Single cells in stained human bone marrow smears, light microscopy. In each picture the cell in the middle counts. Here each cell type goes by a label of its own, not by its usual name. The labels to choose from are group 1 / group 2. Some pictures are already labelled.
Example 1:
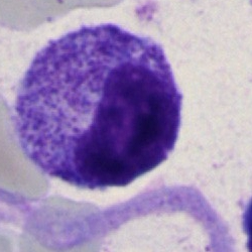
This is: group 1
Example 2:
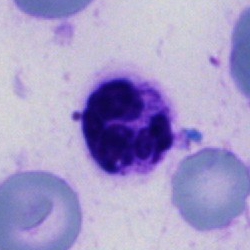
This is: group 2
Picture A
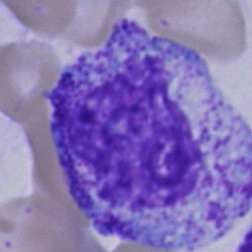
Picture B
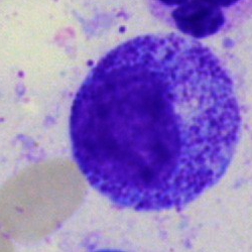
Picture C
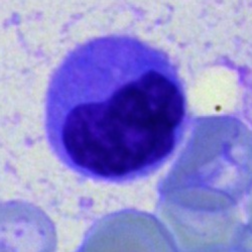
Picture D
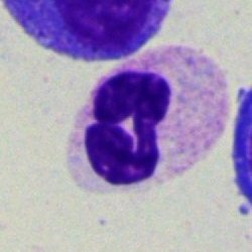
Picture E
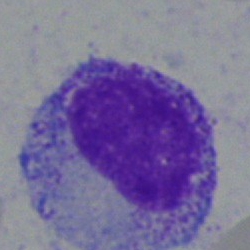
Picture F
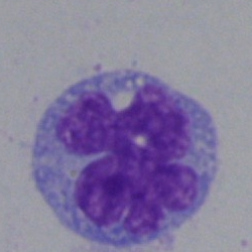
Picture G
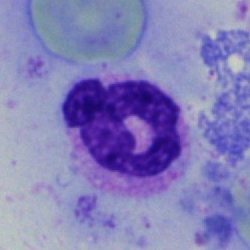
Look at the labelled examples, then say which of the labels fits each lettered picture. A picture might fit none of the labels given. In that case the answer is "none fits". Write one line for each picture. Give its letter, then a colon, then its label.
A: group 1
B: group 1
C: none fits
D: group 2
E: group 1
F: none fits
G: group 2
